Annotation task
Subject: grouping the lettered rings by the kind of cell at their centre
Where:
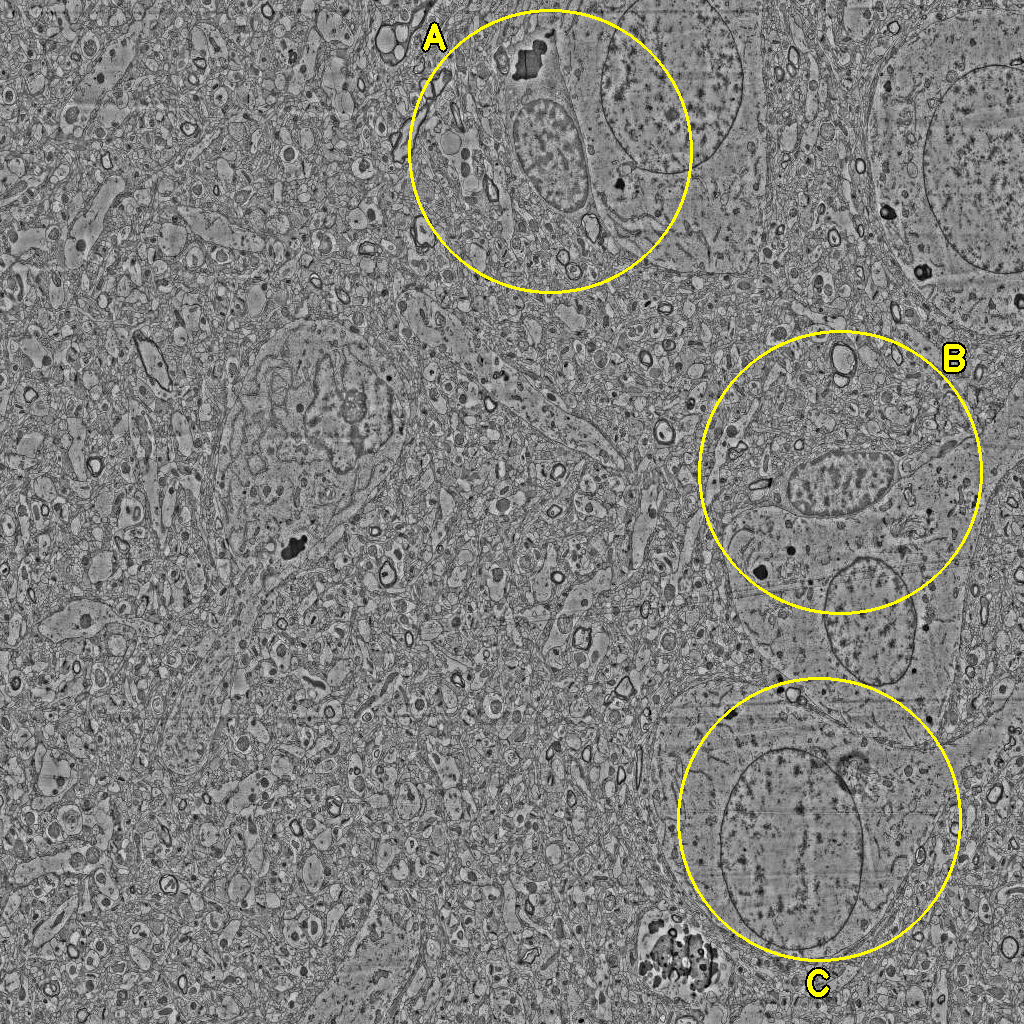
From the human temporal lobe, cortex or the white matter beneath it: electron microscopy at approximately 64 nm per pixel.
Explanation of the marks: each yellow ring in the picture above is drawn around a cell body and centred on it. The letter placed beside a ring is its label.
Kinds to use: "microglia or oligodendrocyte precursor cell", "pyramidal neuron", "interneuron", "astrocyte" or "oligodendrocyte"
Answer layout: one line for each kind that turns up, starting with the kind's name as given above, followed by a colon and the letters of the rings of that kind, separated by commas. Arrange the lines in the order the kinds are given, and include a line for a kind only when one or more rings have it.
pyramidal neuron: C
oligodendrocyte: A, B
